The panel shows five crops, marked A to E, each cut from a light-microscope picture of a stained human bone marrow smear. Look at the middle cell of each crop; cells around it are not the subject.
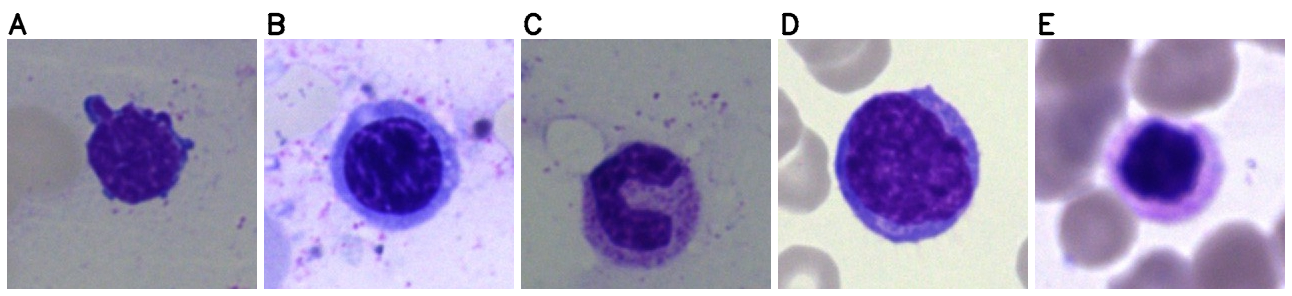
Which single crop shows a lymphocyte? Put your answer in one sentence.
When the crops are compared, crop A is the one showing a lymphocyte.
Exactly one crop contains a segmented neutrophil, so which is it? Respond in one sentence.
The crop carrying a segmented neutrophil at the center is crop E.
